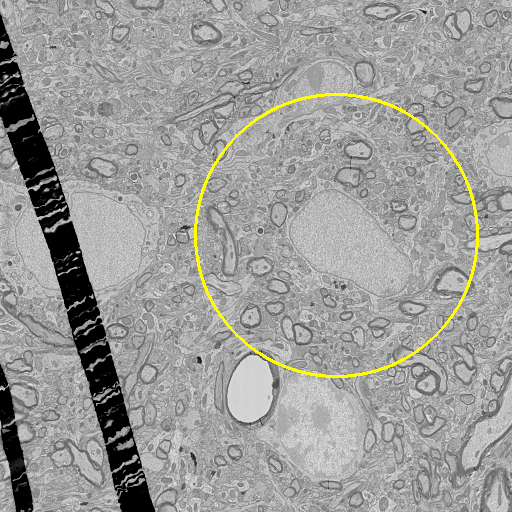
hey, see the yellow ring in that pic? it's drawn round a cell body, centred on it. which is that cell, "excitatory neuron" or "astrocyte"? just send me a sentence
The cell in the ring is an astrocyte.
